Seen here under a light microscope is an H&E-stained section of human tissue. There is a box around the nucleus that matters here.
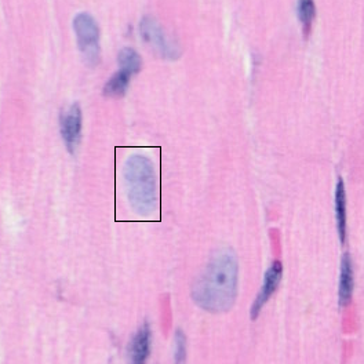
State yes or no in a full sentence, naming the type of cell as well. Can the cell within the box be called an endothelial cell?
No, mark the cell within the box as a cardiomyocyte, not as an endothelial cell.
